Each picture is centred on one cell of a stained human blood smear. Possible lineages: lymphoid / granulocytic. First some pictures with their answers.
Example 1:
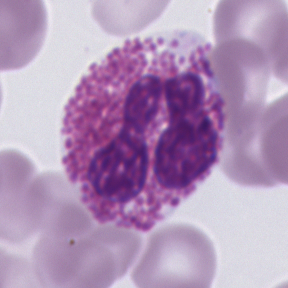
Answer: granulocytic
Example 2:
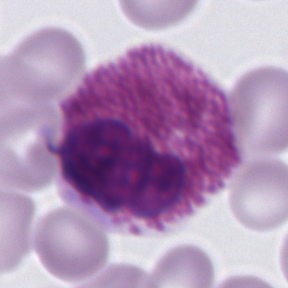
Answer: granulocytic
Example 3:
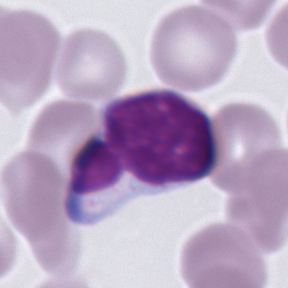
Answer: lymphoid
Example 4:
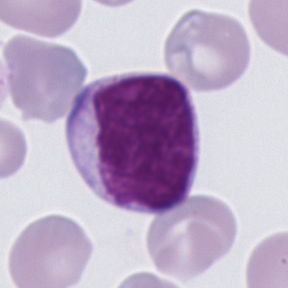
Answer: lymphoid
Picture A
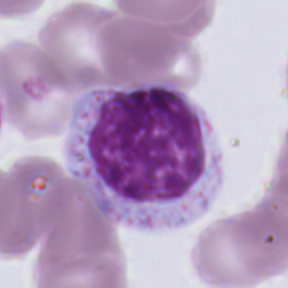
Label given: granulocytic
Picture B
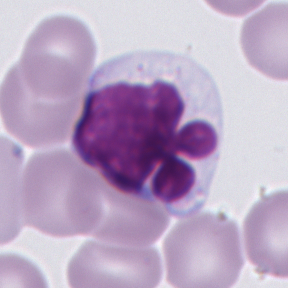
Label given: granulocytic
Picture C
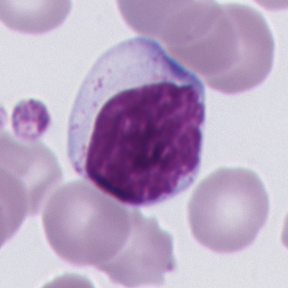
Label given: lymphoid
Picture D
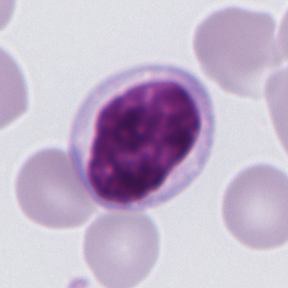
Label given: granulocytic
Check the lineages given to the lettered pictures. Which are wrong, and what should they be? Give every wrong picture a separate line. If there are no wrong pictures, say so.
B: lymphoid, not granulocytic
D: lymphoid, not granulocytic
